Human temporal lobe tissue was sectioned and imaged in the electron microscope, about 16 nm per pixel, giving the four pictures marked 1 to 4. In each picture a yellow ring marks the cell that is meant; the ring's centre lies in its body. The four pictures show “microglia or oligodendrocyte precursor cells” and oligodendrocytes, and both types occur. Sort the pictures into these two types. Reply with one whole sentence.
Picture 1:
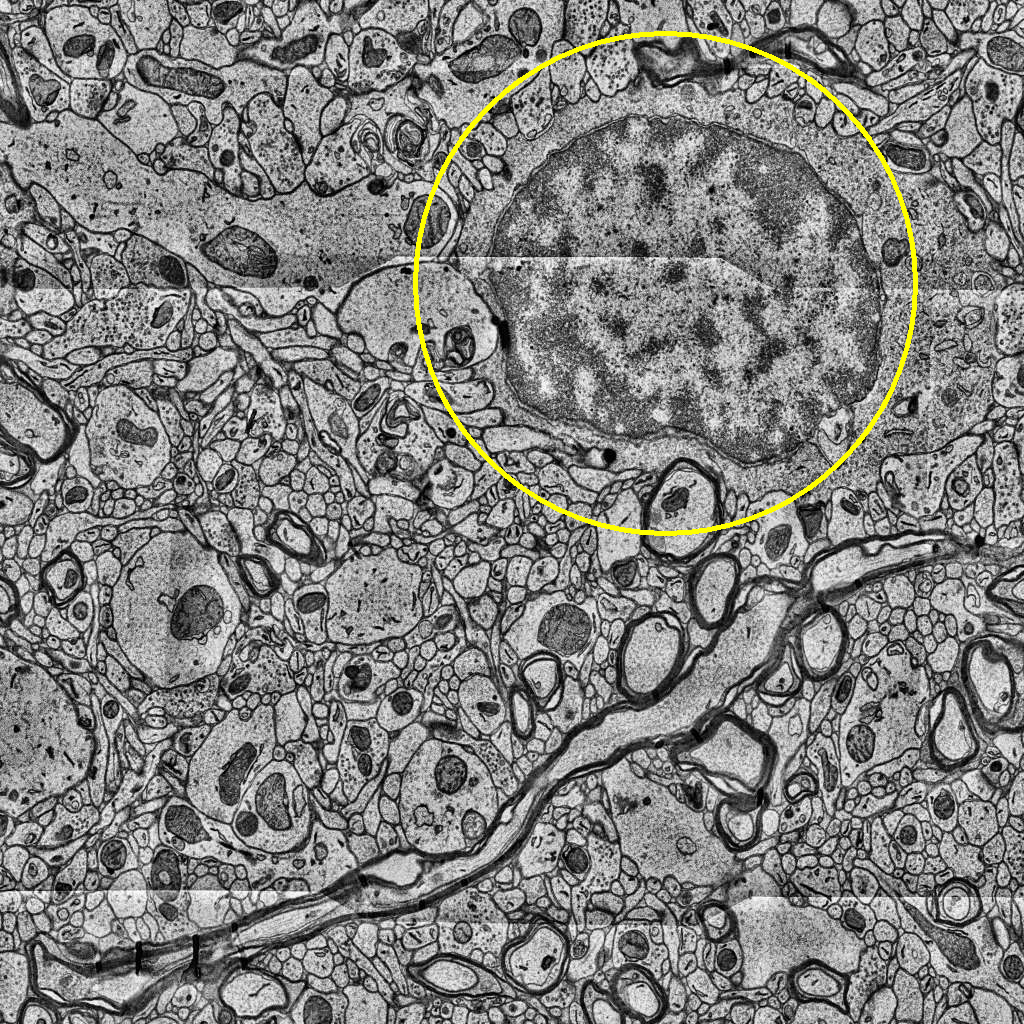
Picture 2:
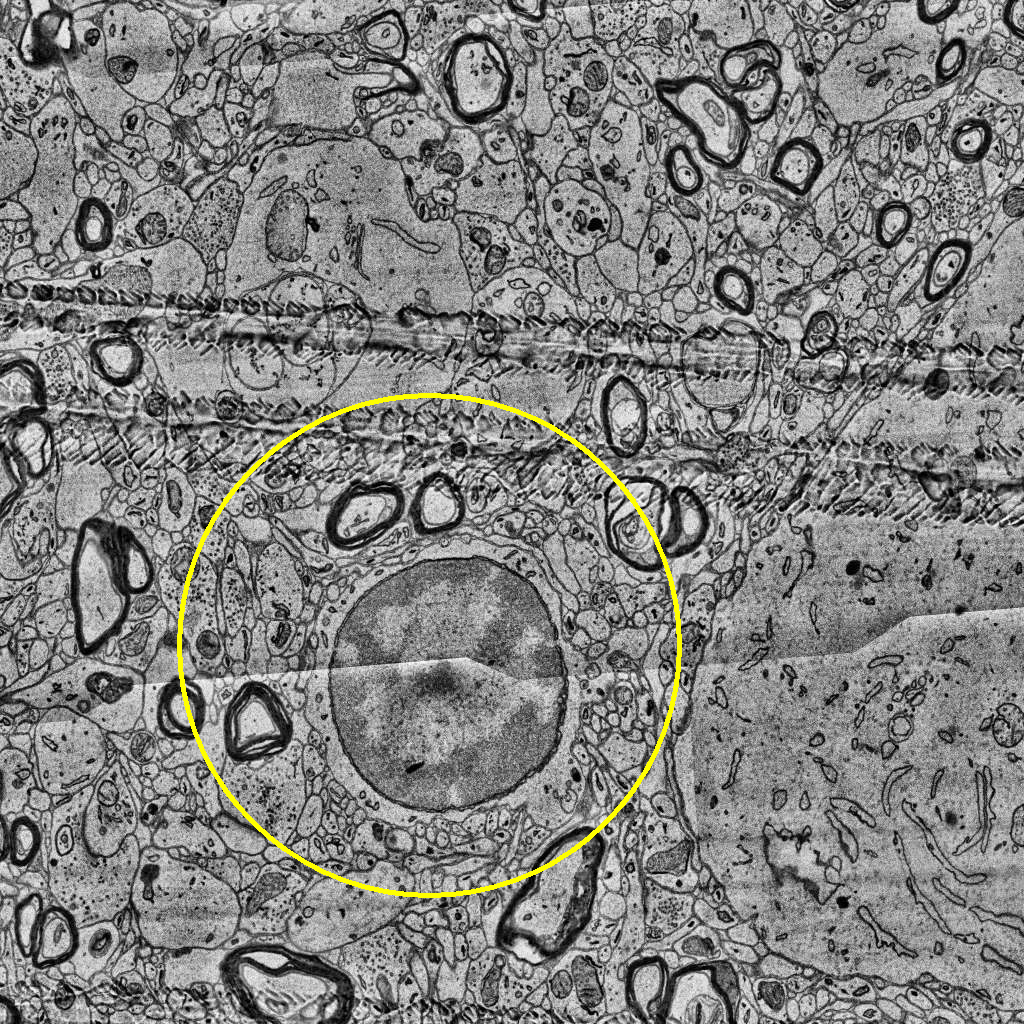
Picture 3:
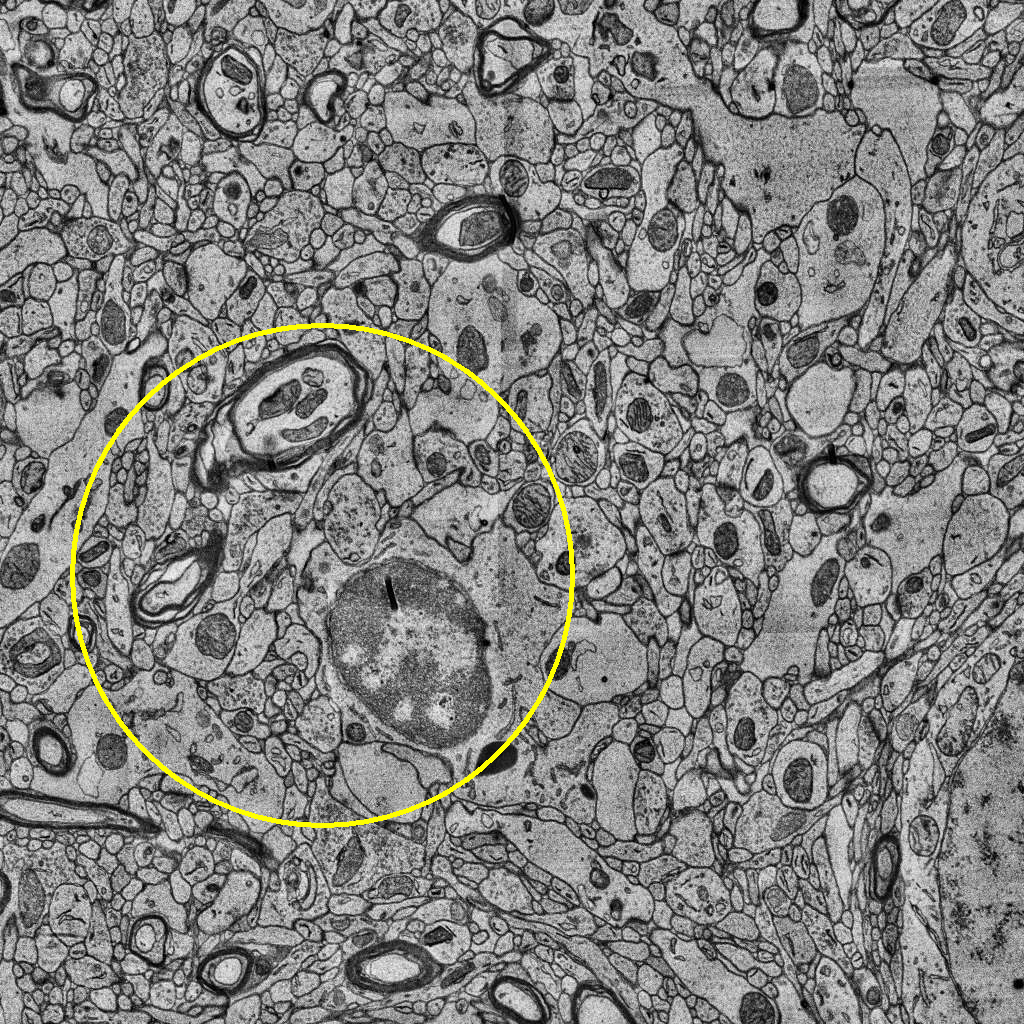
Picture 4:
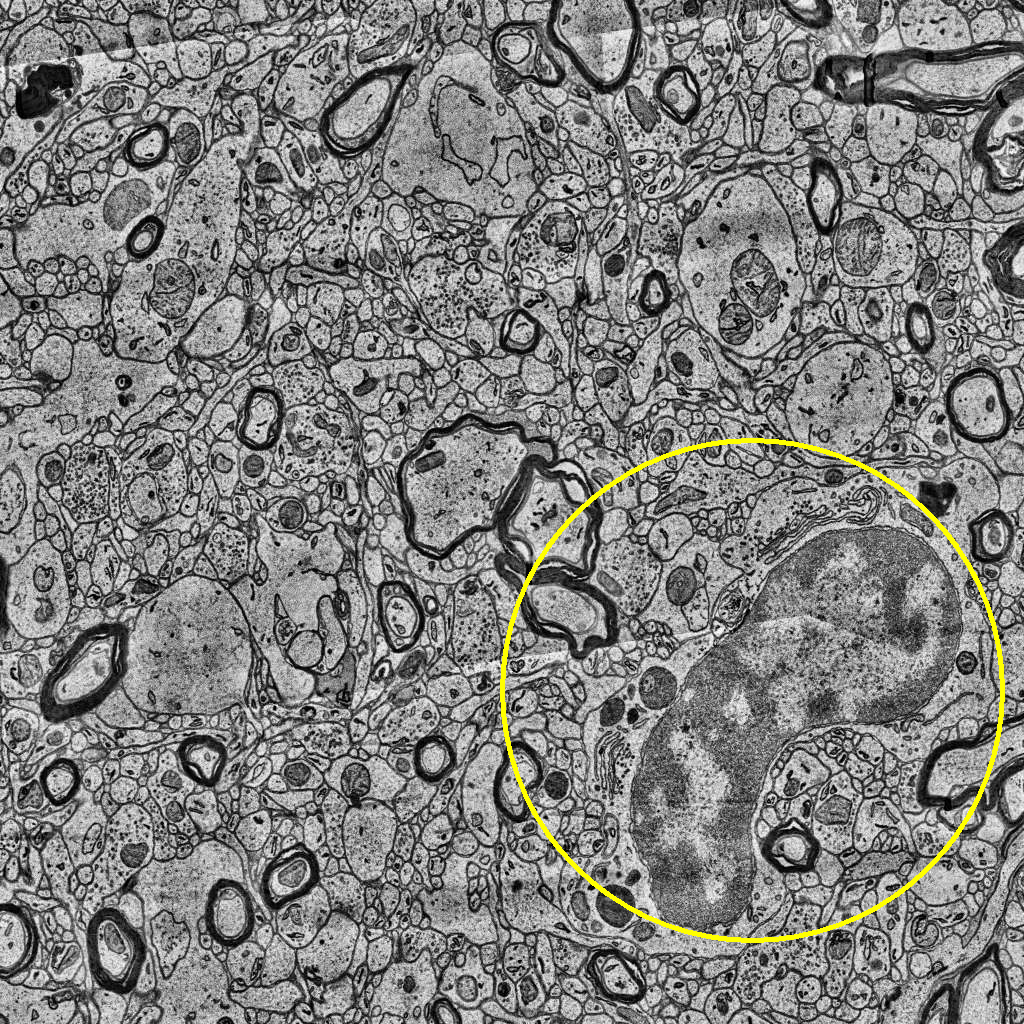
Pictures 2, 3 and 4 show “microglia or oligodendrocyte precursor cells”, and picture 1 shows an oligodendrocyte.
